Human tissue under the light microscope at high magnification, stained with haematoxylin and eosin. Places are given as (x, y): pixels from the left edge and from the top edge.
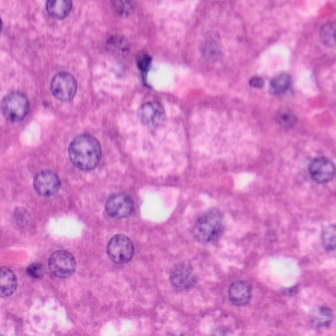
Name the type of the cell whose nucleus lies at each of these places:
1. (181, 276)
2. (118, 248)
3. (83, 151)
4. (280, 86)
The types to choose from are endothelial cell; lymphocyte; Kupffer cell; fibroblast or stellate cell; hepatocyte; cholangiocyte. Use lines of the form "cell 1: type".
cell 1: hepatocyte
cell 2: hepatocyte
cell 3: hepatocyte
cell 4: Kupffer cell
